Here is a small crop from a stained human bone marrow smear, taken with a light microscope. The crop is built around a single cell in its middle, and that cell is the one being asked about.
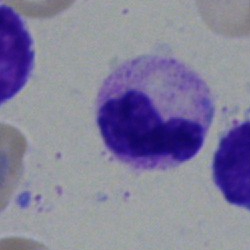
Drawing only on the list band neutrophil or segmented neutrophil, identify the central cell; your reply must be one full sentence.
The crop shows a band neutrophil in its centre.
